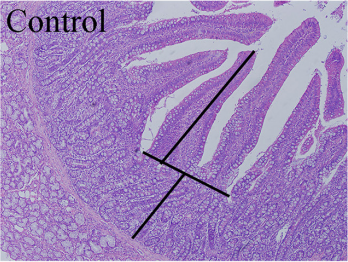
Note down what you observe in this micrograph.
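This is a section of small intestinal wall from the duodenum, stained pink and purple with hematoxylin and eosin. Long, slender villi covered by a single layer of epithelium radiate into the pale open lumen, each with a pink connective tissue core. At their bases, tightly packed tubular crypts with purple nuclei form a deeper glandular layer.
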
